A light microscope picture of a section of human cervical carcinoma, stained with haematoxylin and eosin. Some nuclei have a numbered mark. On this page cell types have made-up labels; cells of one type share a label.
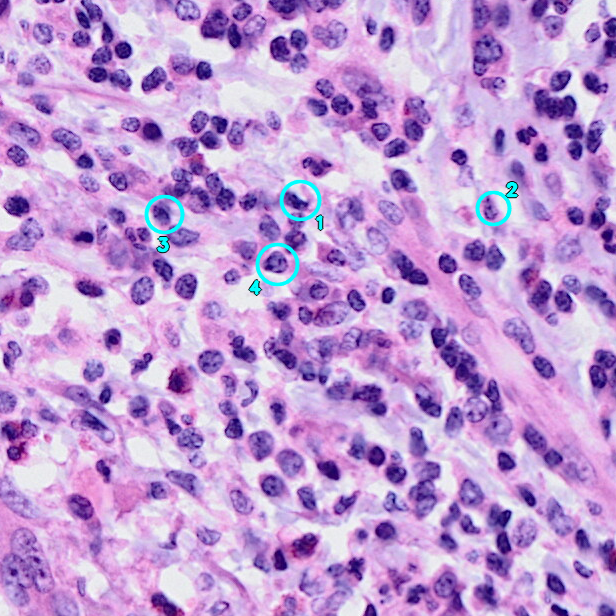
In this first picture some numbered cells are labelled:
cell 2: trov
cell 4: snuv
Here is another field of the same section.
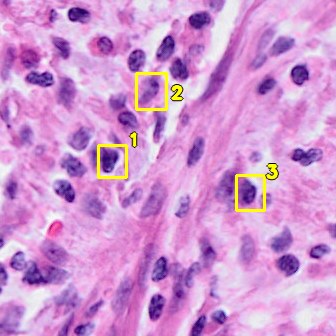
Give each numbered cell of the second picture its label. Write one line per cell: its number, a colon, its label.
1: snuv
2: trov
3: snuv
